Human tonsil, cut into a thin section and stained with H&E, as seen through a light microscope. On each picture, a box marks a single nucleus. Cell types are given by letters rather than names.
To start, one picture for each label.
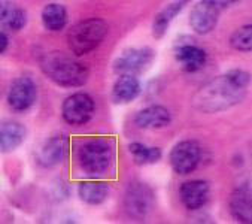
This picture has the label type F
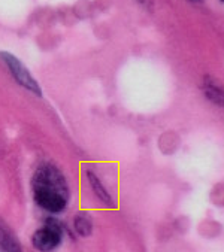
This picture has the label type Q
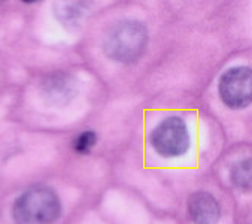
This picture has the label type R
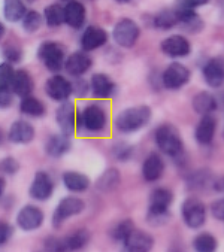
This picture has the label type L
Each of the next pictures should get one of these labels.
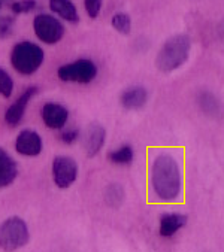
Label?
type R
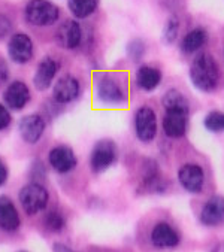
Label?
type F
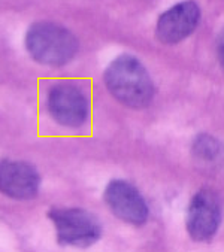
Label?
type R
